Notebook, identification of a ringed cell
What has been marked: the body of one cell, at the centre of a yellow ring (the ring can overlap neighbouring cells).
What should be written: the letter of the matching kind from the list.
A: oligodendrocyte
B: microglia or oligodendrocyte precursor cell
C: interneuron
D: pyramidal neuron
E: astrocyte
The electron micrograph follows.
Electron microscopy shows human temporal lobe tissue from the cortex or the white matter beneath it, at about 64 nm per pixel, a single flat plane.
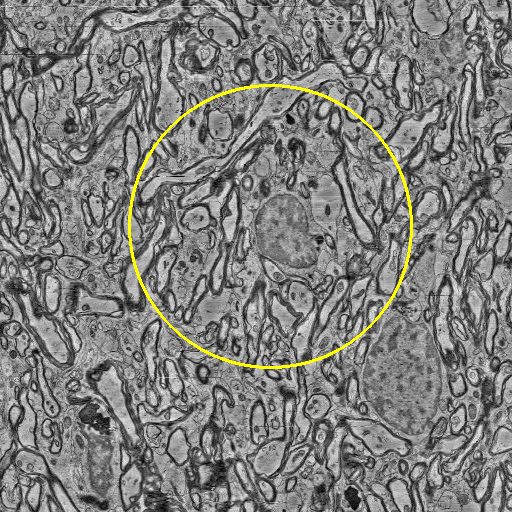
A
